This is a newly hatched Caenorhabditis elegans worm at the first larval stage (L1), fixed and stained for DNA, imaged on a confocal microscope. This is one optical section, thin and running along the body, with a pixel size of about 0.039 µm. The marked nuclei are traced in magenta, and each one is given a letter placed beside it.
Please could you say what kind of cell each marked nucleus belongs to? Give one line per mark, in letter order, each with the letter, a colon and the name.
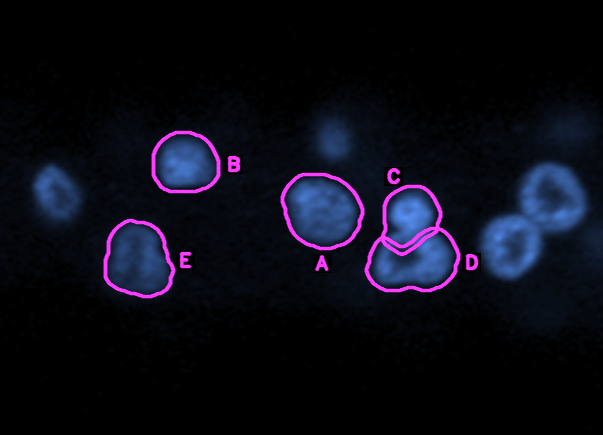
A: seam cell
B: P cell (ventral epidermal blast cell)
C: neuron
D: hypodermal cell (hyp)
E: hypodermal cell (hyp)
